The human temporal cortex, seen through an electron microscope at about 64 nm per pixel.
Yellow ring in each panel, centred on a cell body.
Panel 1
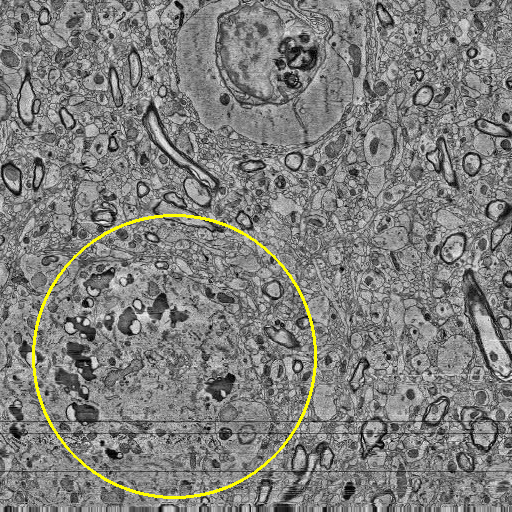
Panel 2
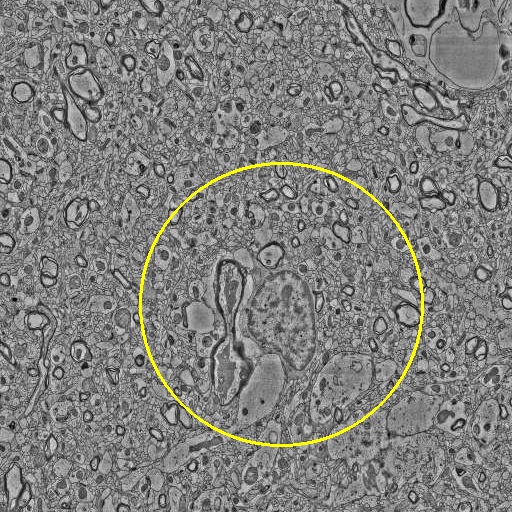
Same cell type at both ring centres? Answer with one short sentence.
No, the two cells are of two types.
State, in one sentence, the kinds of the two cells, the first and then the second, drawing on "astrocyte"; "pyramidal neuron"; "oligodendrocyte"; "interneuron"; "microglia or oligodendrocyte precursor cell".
The ring in the second picture is centred on an oligodendrocyte, the ring in the first on a pyramidal neuron.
